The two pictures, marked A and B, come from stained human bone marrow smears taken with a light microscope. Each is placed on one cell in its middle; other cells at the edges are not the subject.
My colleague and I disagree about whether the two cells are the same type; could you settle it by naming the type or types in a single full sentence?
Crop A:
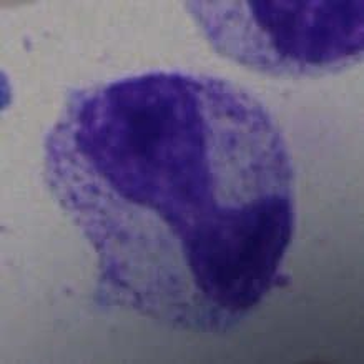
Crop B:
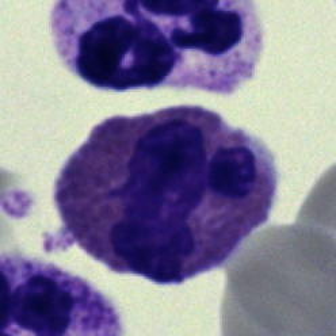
No, the correct reading is a band neutrophil in crop A and an eosinophil in crop B.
